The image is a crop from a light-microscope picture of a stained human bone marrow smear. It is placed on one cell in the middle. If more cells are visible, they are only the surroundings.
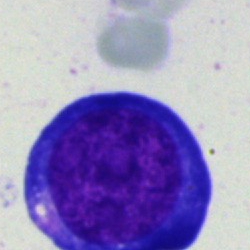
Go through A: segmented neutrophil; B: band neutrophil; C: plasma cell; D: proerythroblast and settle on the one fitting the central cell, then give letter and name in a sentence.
The cell in the middle is a proerythroblast, so option D is correct.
